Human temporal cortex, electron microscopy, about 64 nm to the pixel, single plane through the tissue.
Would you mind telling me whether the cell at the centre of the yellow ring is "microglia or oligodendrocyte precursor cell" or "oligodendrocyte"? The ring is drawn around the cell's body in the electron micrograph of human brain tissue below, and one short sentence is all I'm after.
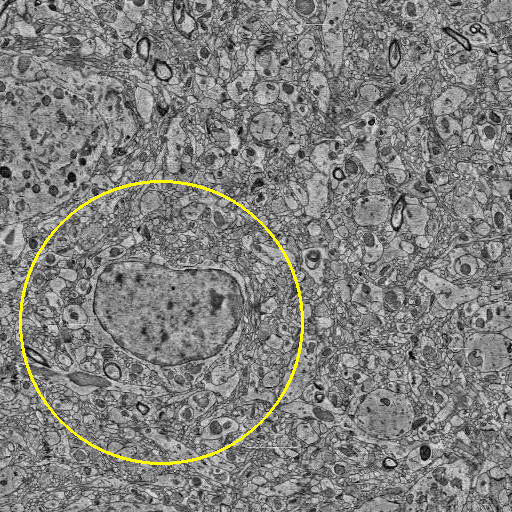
In the centre of the ring lies a microglial cell or oligodendrocyte precursor cell.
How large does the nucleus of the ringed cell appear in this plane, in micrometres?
Roughly 9 by 7 micrometres is the size of the nucleus in this plane.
